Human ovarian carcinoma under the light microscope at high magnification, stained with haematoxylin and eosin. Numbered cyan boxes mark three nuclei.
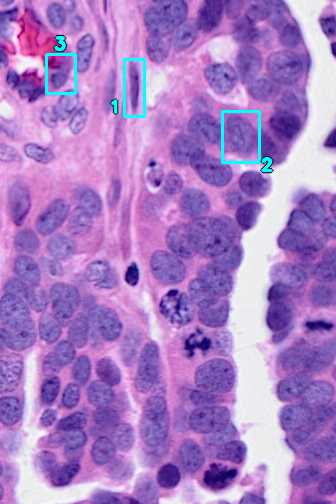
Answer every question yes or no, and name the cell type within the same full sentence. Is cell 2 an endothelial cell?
No, the cell given number 2 is a carcinoma cell, not an endothelial cell.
